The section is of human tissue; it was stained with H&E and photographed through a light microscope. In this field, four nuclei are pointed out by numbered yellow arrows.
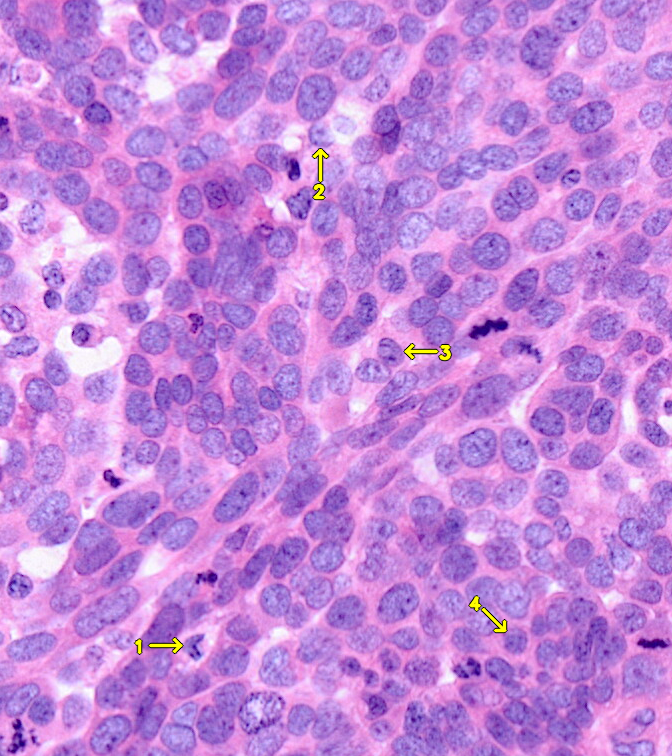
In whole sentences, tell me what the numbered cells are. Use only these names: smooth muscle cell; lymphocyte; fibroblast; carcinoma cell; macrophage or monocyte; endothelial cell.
Cell 1 is a macrophage or monocyte, cell 2 is a macrophage or monocyte, cell 3 is a macrophage or monocyte and cell 4 is a carcinoma cell.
